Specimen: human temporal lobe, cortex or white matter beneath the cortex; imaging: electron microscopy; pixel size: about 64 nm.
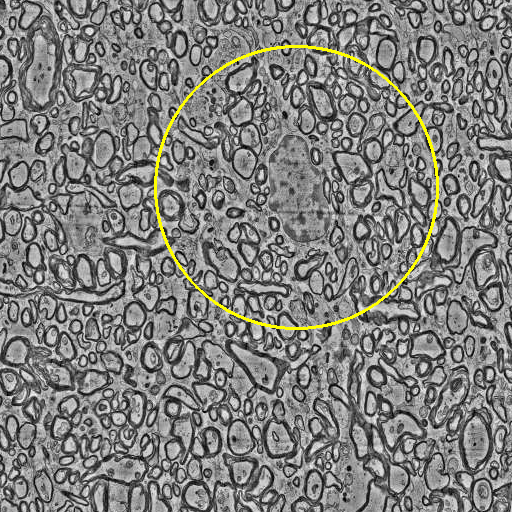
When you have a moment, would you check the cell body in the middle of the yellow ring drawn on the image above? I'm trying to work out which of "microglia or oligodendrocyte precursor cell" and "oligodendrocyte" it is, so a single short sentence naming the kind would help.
This cell body belongs to a microglial cell or oligodendrocyte precursor cell.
